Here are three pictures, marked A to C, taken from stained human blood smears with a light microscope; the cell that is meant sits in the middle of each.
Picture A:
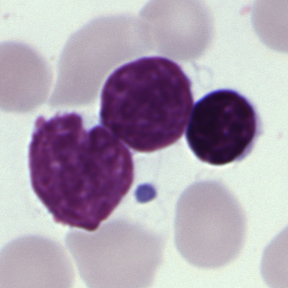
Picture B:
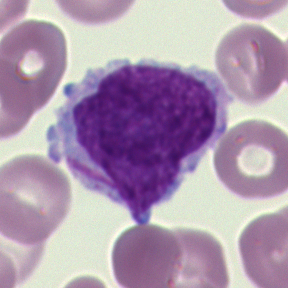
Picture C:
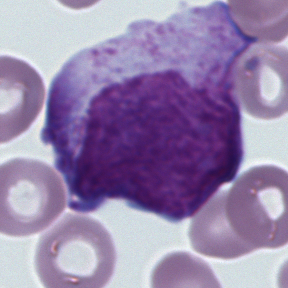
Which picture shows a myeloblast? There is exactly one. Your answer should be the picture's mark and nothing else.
A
